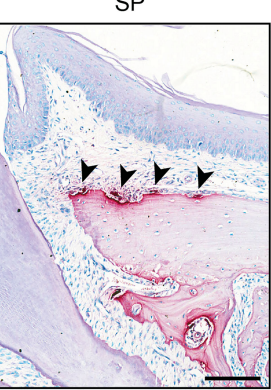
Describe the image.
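Periodontium with gingiva above and bone below, with red-stained osteoclasts on the bone surface. A stratified gingival epithelium covers the top, its cells stained blue-green. Beneath it lies loose connective tissue with scattered elongated and rounded nuclei. The bone appears pale pink with small lacunae, and its upper surface carries several intensely red-stained cells in small pits. Further red staining appears deeper in the bone around a vascular space at the lower right. The tooth lies to the left as a pale, acellular band.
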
